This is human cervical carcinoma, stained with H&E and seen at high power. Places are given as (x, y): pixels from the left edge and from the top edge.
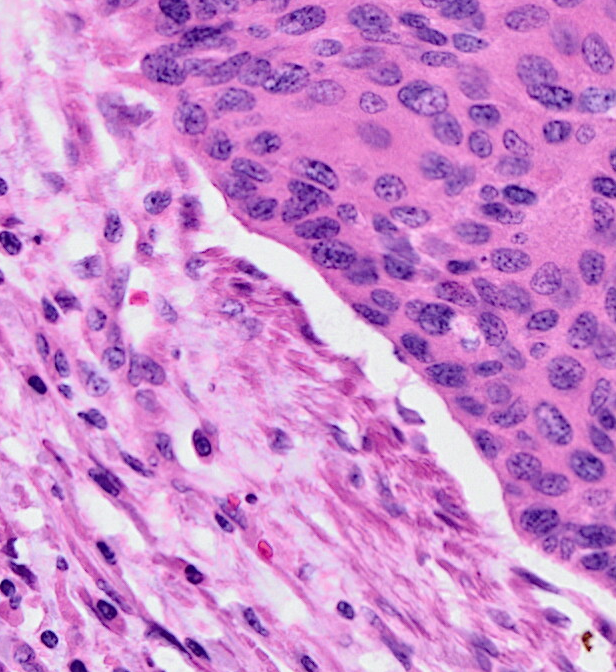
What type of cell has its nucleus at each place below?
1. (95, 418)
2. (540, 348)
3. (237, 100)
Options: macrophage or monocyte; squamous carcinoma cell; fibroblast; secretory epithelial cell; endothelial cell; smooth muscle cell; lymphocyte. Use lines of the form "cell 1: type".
cell 1: lymphocyte
cell 2: squamous carcinoma cell
cell 3: squamous carcinoma cell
